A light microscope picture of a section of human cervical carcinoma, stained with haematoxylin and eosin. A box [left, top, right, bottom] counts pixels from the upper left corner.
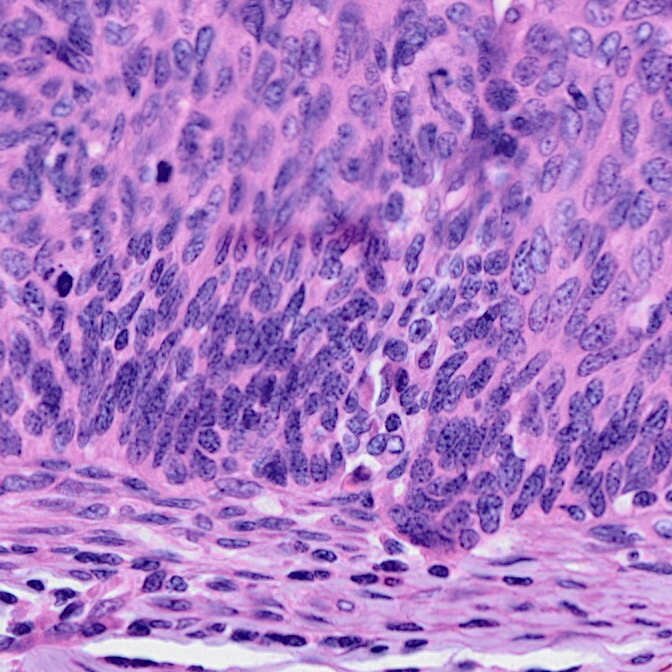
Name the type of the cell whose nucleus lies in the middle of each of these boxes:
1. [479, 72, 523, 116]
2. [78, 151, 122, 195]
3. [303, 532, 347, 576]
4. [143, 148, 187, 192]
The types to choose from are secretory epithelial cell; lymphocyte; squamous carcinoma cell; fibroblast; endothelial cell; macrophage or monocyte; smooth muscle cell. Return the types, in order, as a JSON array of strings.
["squamous carcinoma cell", "squamous carcinoma cell", "lymphocyte", "squamous carcinoma cell"]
